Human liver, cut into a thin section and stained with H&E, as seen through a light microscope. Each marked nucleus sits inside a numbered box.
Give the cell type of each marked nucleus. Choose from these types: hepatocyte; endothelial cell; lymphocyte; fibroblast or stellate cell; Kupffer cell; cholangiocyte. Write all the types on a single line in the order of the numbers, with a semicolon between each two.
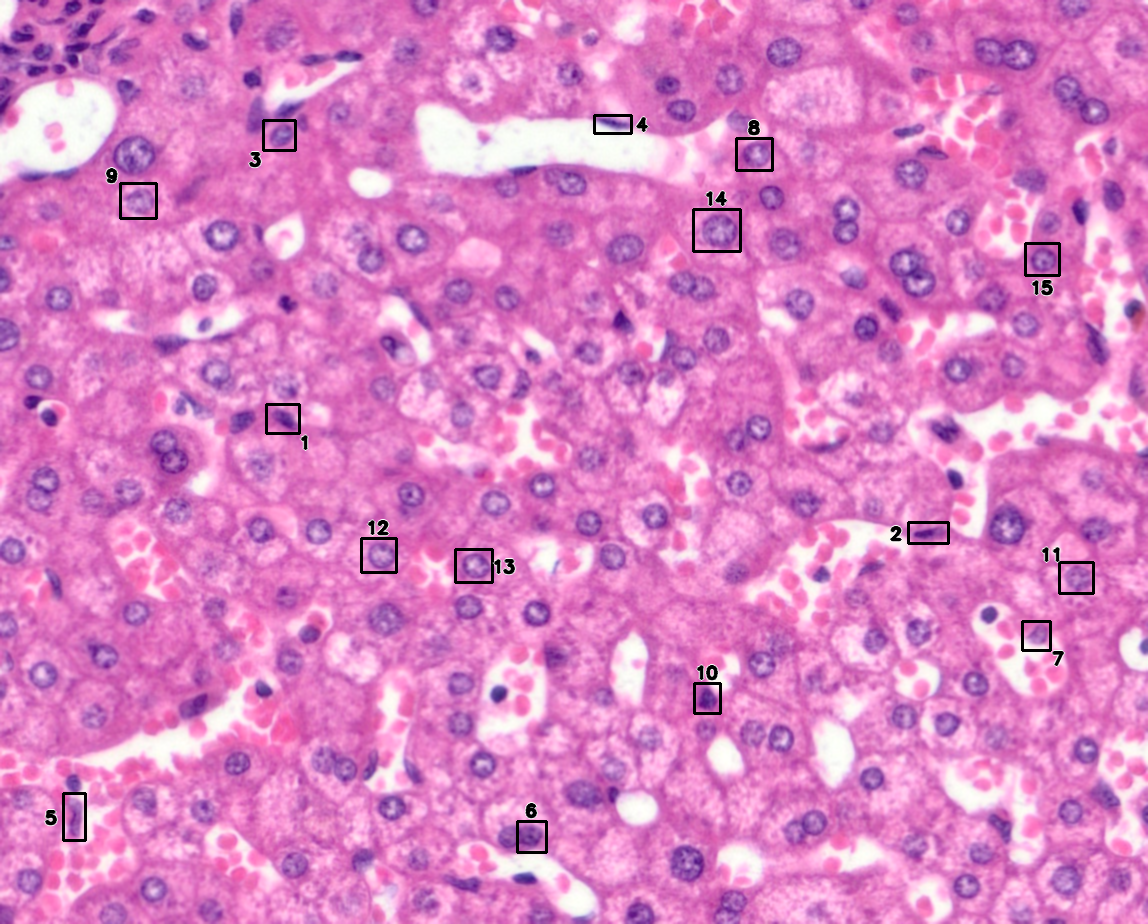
fibroblast or stellate cell; fibroblast or stellate cell; cholangiocyte; endothelial cell; Kupffer cell; hepatocyte; Kupffer cell; hepatocyte; hepatocyte; fibroblast or stellate cell; hepatocyte; hepatocyte; hepatocyte; hepatocyte; hepatocyte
